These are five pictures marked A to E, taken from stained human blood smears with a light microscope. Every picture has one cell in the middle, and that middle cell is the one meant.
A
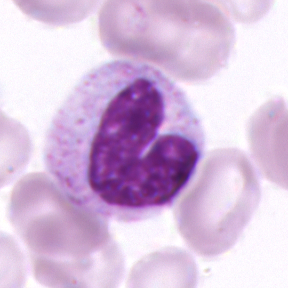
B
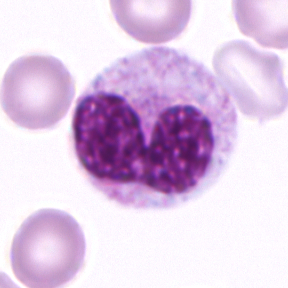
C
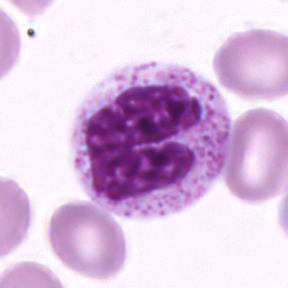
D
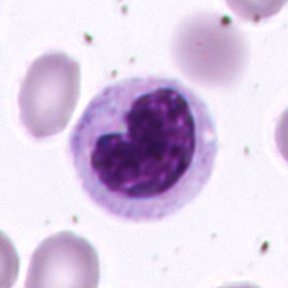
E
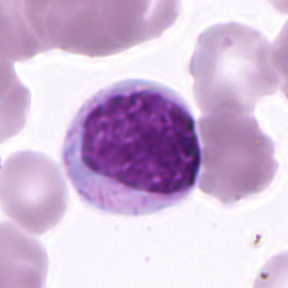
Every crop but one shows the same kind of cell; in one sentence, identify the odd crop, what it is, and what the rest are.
In this set the other crops all show band neutrophils, and crop E shows a metamyelocyte.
